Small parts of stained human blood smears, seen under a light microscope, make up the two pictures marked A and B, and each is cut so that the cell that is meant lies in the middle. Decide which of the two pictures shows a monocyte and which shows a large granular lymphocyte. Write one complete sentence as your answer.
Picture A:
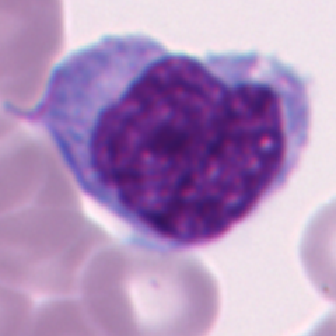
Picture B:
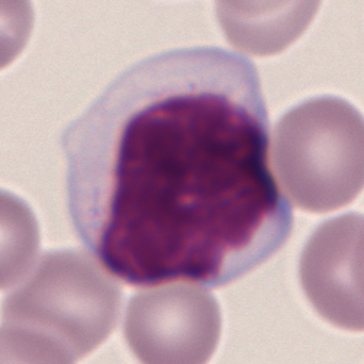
The cell in picture A is a monocyte, and the one in picture B is a large granular lymphocyte.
